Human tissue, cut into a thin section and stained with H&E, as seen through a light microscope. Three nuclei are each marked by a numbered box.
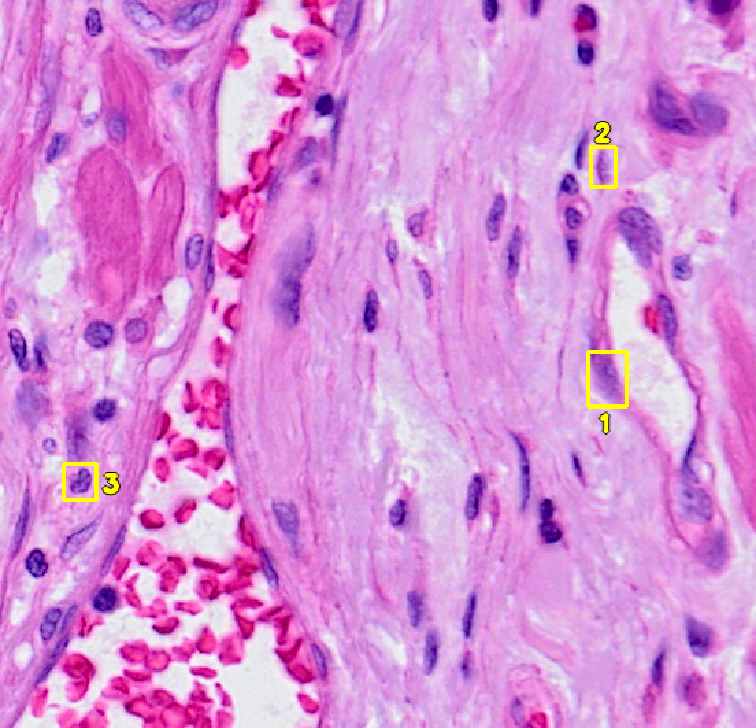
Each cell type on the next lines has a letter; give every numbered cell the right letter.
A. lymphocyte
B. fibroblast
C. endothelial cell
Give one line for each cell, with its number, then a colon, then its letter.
1: C
2: B
3: A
